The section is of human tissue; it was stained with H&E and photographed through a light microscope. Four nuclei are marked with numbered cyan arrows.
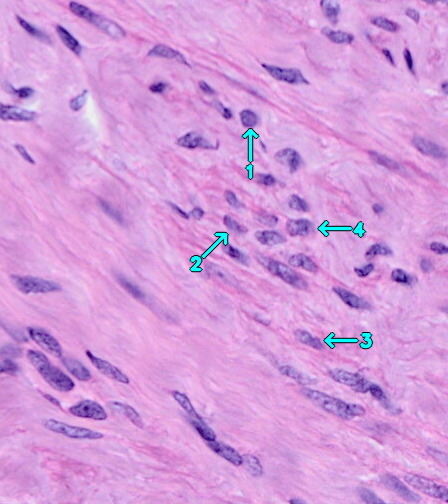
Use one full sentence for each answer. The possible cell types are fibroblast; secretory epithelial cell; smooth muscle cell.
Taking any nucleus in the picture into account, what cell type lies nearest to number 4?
The cell nearest to number 4 is a smooth muscle cell.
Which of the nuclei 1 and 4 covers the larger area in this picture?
At about 1.5 times the area of nucleus 1, nucleus 4 is the larger of the two.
